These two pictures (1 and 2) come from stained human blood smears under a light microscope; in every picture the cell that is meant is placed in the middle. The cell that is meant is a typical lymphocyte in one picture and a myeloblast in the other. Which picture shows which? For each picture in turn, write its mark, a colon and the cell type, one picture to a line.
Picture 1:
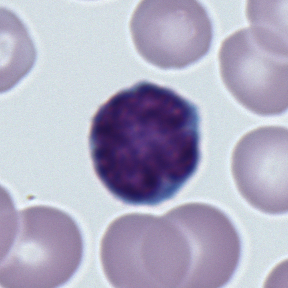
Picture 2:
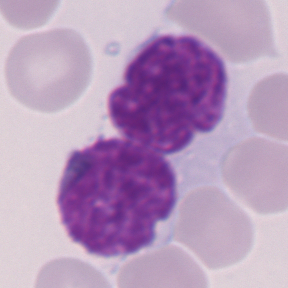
1: typical lymphocyte
2: myeloblast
